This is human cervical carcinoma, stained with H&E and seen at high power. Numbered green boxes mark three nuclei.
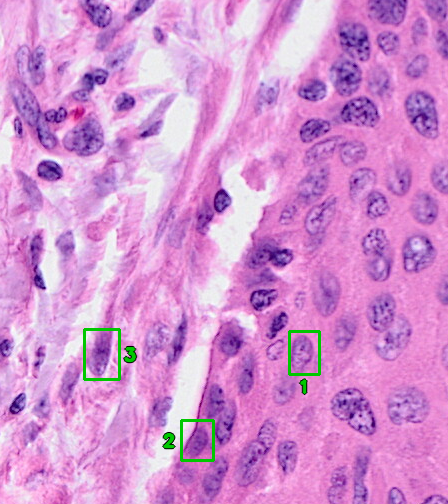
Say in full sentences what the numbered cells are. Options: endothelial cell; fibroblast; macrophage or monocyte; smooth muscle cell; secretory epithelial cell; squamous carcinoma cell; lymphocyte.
Cell 1 is a squamous carcinoma cell, cell 2 is a squamous carcinoma cell and cell 3 is a fibroblast.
